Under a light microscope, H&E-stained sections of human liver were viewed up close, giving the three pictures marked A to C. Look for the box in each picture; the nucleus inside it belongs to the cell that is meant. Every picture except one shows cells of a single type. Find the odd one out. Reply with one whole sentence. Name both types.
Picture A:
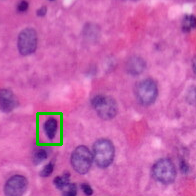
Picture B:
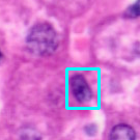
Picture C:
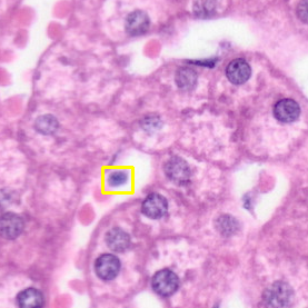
Picture B is the odd one out: it shows a “fibroblast or stellate cell”, while the others show lymphocytes.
